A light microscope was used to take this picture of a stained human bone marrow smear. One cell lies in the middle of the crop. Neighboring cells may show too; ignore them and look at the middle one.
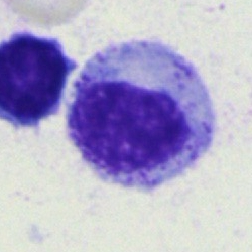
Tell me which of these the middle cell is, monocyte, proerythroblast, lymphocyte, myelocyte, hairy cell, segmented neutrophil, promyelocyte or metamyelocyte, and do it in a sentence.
The centrally positioned cell in the crop represents a metamyelocyte.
